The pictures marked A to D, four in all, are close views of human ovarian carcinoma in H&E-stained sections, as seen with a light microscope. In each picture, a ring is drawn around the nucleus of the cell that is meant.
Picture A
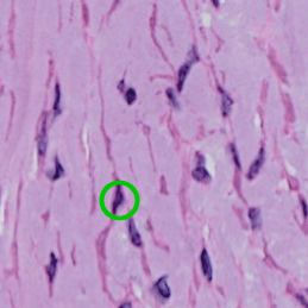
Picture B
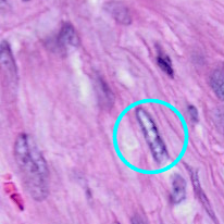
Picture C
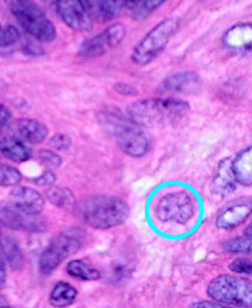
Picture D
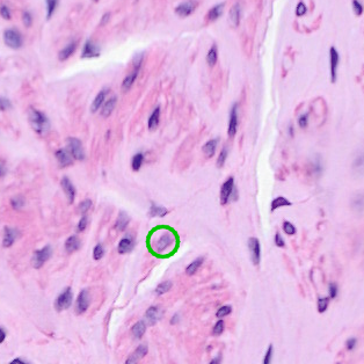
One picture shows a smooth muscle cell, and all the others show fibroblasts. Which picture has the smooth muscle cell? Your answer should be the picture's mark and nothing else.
D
